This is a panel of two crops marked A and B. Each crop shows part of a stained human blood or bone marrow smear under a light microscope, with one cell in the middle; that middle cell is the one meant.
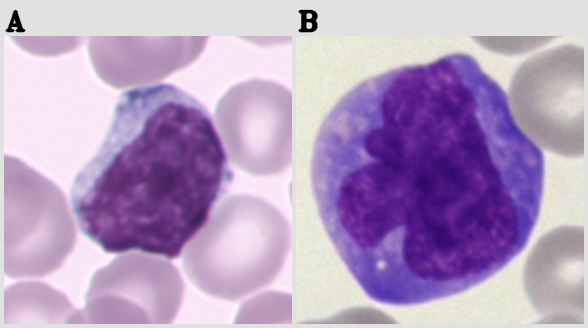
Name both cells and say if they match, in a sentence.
No, in crop B the central cell is a monocyte, and in crop A it is a lymphocyte.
